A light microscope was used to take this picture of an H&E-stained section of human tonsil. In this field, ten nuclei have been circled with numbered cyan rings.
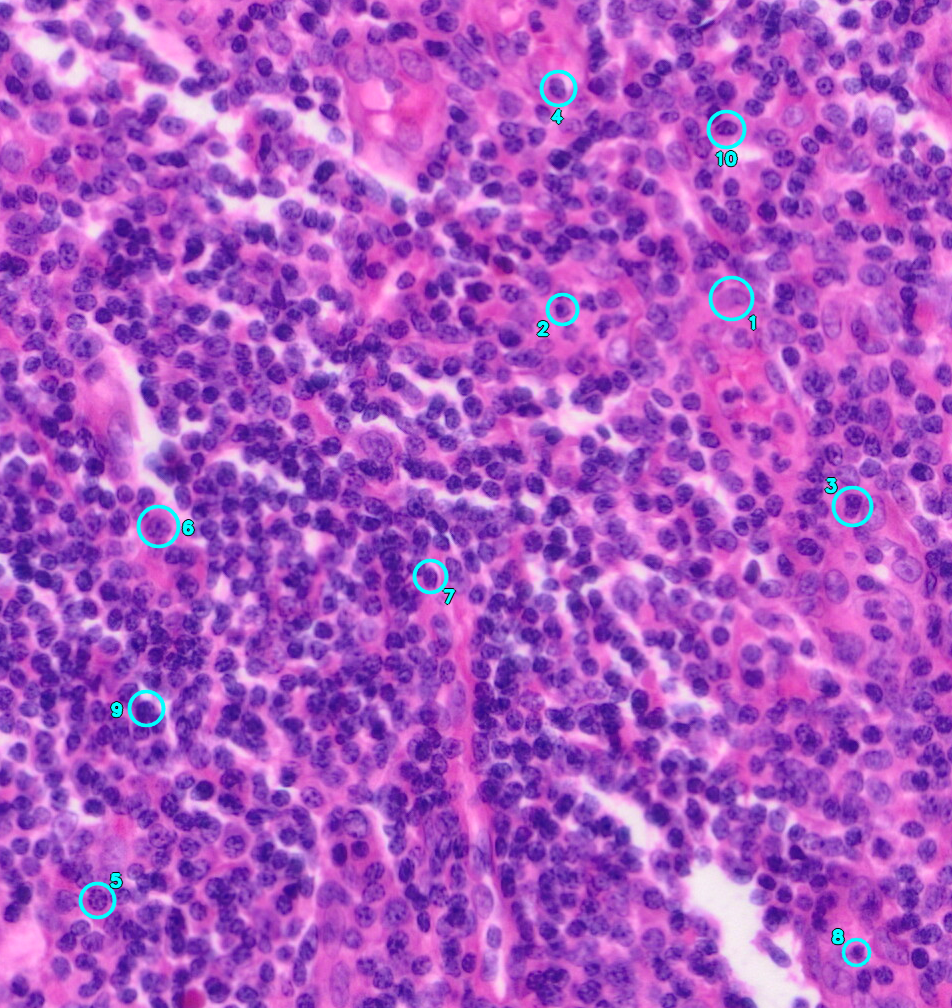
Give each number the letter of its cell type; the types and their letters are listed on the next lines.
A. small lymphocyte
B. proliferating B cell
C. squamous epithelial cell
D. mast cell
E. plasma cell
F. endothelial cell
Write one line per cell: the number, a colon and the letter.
1: F
2: F
3: F
4: F
5: E
6: E
7: A
8: F
9: A
10: E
